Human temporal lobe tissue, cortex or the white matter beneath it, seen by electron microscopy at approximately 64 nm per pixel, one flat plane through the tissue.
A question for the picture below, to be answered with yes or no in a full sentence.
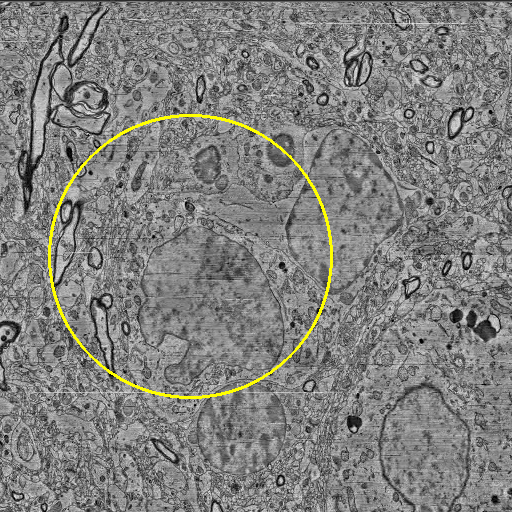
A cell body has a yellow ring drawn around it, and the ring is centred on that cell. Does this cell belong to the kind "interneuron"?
Yes, the pictured cell at the ring's centre belongs to that kind.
